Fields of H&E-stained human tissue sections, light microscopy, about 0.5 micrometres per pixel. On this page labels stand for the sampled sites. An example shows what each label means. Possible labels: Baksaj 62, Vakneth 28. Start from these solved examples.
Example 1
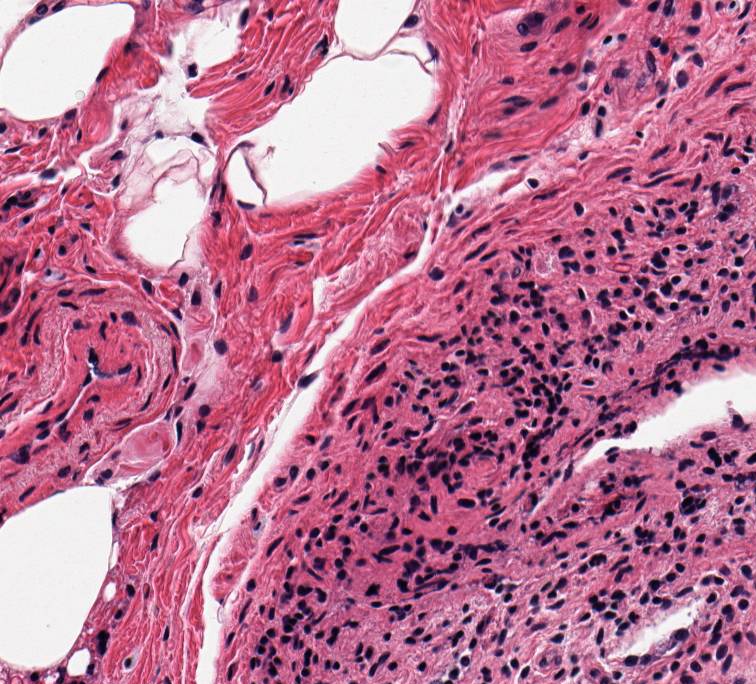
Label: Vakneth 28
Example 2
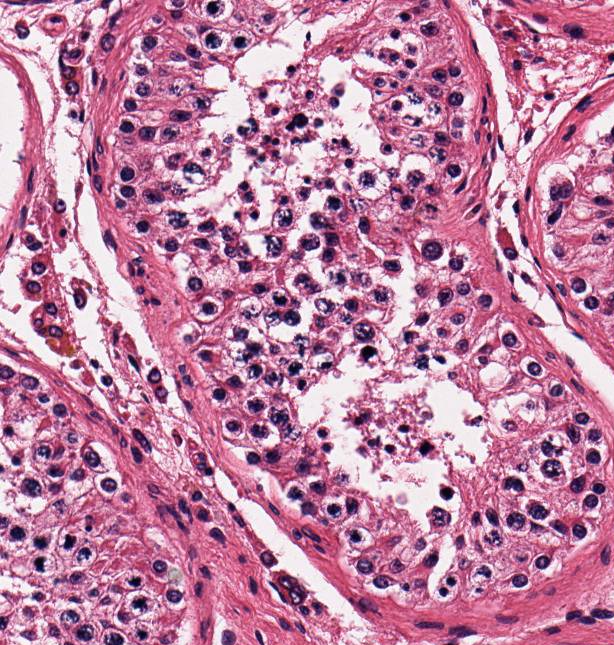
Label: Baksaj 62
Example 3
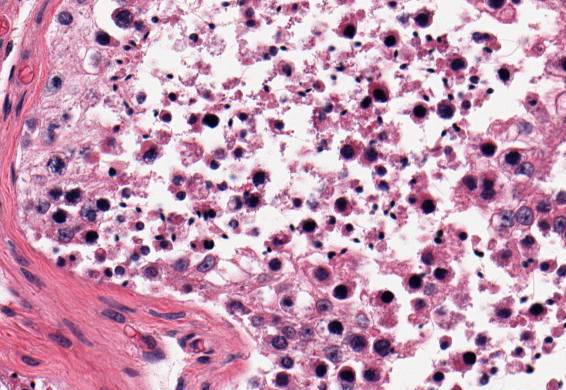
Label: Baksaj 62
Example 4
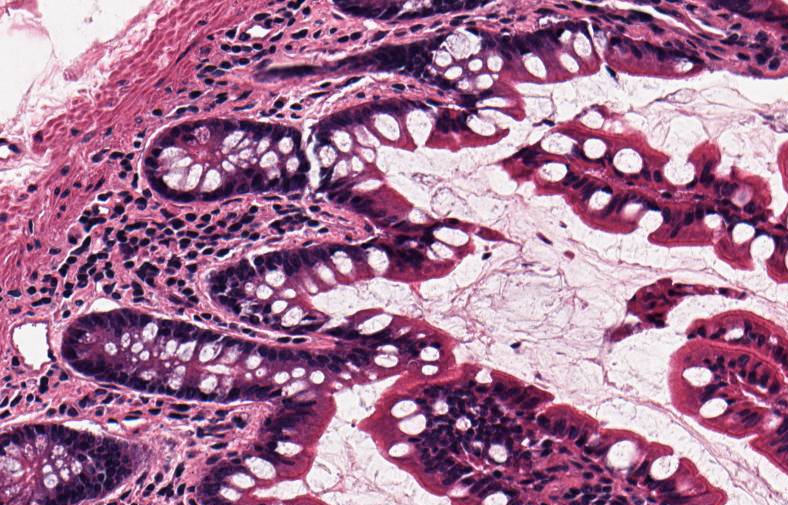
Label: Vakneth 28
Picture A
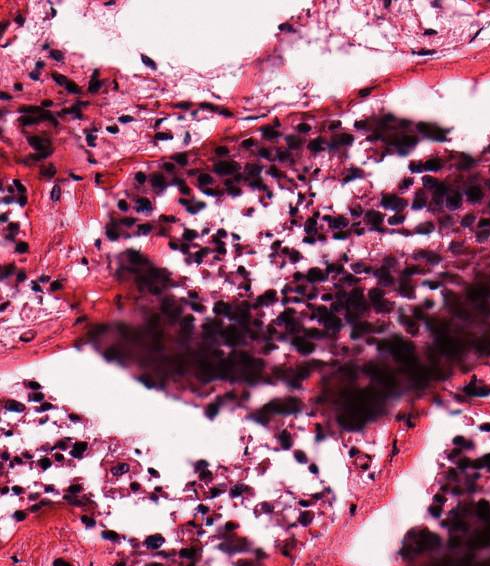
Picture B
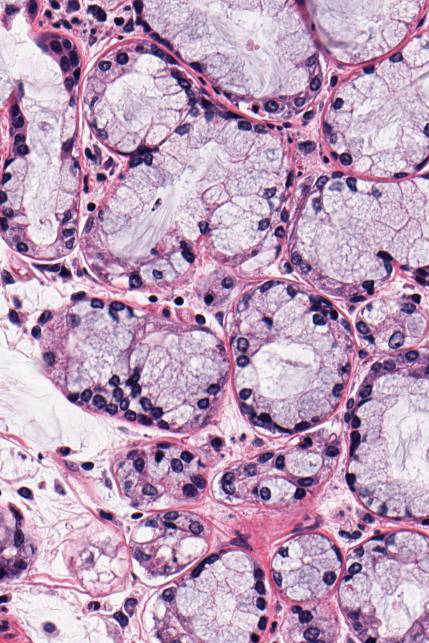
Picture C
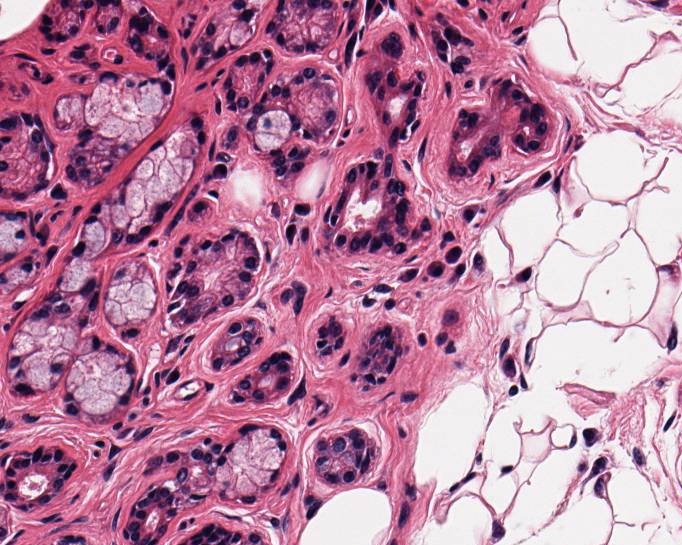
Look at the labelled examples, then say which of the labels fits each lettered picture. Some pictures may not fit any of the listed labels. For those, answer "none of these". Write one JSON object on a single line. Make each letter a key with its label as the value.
{"A": "Baksaj 62", "B": "none of these", "C": "none of these"}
